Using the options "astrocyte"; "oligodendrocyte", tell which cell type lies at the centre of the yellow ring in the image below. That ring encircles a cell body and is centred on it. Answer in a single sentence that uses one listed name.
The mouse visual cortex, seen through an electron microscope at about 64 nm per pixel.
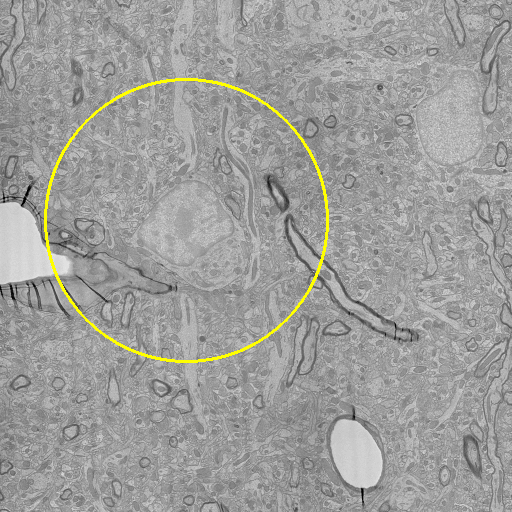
At the centre of the yellow ring lies the body of an oligodendrocyte.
